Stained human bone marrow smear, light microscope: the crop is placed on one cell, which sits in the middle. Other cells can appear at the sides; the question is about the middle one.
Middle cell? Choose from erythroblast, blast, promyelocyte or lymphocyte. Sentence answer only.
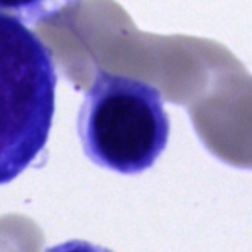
Where the crop is centred, there is an erythroblast.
